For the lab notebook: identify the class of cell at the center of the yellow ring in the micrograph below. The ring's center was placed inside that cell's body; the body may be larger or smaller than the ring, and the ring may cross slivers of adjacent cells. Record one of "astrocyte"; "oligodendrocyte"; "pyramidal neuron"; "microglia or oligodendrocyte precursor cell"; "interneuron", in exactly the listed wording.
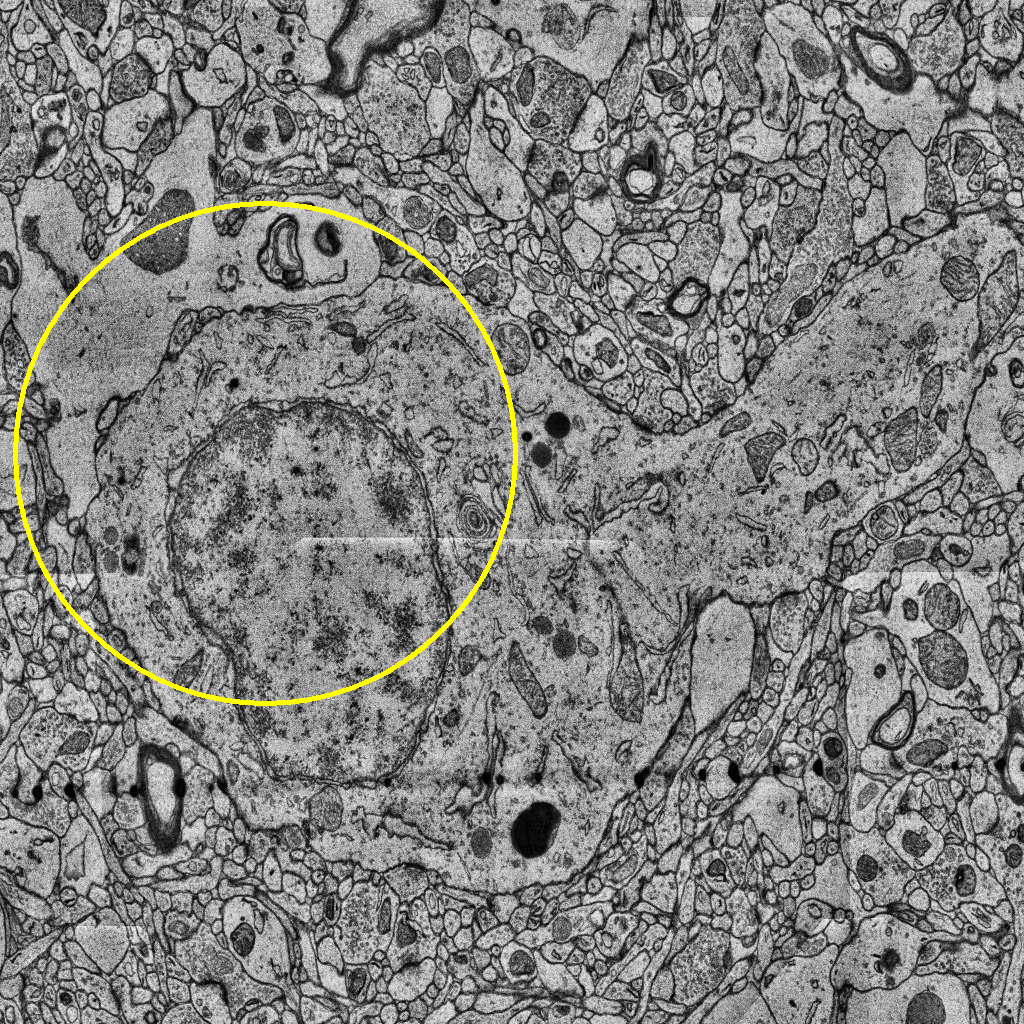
interneuron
